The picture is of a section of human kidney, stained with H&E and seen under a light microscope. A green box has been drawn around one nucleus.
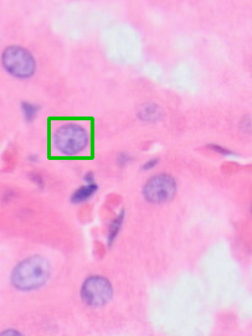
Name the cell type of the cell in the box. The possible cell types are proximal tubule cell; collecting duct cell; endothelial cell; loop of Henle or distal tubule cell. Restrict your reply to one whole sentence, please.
The category to which the cell in the box belongs is that of a proximal tubule cell.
